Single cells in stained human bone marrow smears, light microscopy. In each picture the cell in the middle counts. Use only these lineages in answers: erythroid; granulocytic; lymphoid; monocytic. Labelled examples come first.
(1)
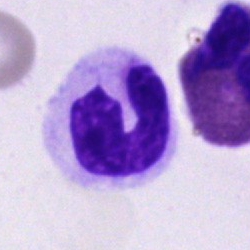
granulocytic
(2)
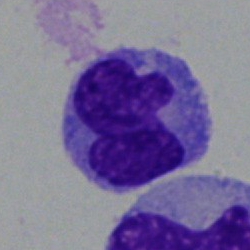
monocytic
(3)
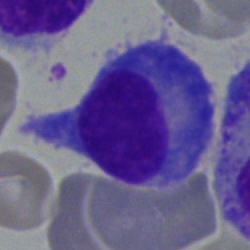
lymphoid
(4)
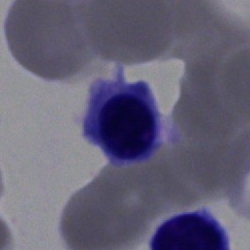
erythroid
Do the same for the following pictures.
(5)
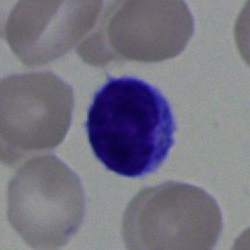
lymphoid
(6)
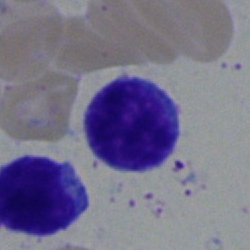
lymphoid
